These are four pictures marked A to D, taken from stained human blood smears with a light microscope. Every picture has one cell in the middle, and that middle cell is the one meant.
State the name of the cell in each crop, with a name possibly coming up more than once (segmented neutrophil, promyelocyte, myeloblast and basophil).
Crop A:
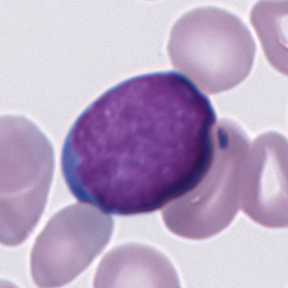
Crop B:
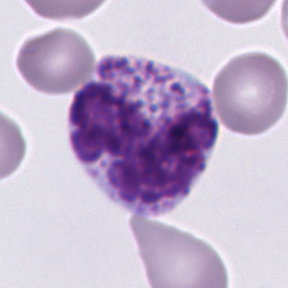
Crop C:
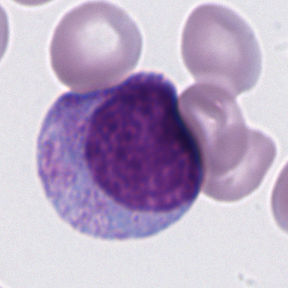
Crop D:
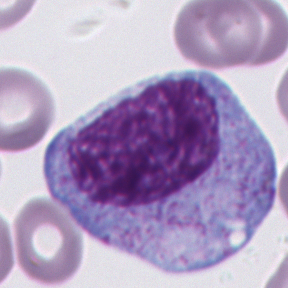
A: myeloblast
B: basophil
C: promyelocyte
D: promyelocyte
